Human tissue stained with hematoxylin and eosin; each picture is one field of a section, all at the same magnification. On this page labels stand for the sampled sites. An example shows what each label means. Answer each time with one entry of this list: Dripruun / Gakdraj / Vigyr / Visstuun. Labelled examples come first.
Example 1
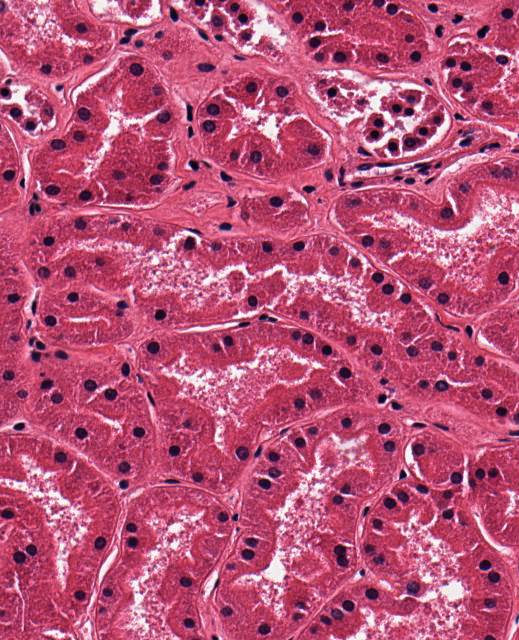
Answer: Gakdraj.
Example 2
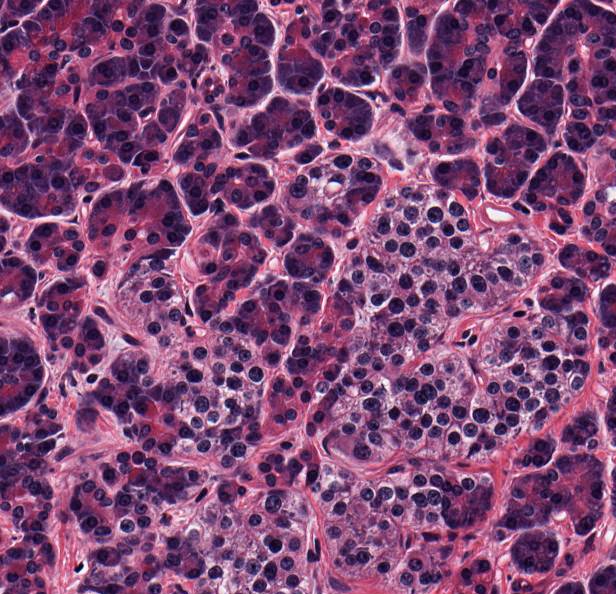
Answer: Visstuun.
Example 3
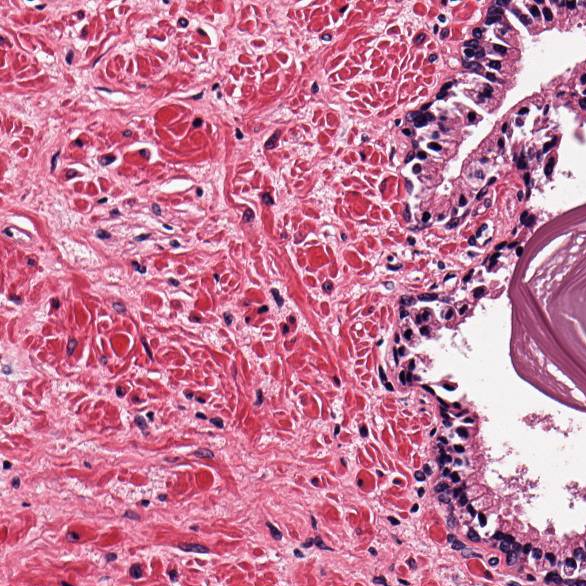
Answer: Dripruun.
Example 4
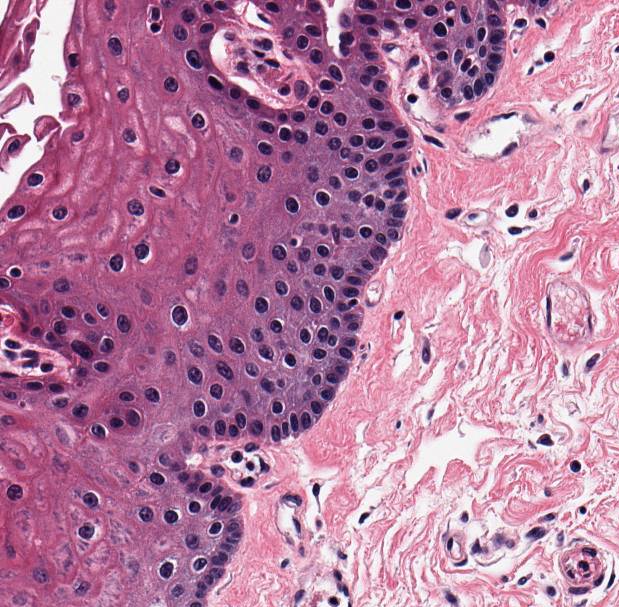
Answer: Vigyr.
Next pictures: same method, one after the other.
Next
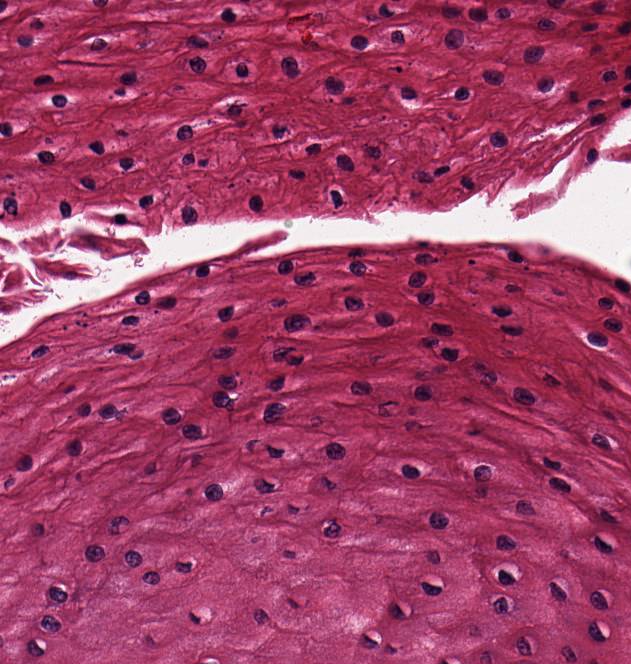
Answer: Vigyr.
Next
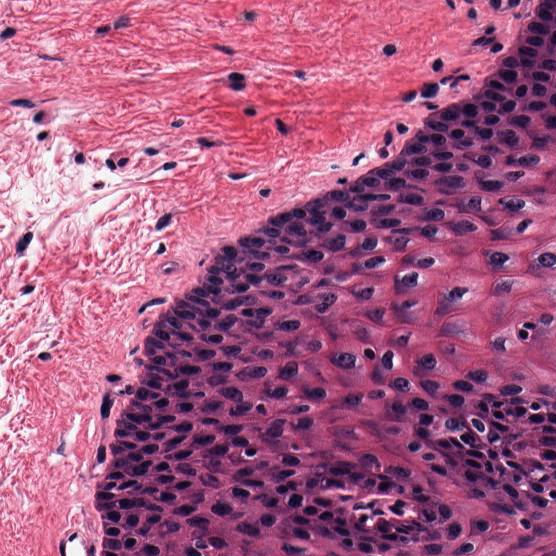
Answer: Vigyr.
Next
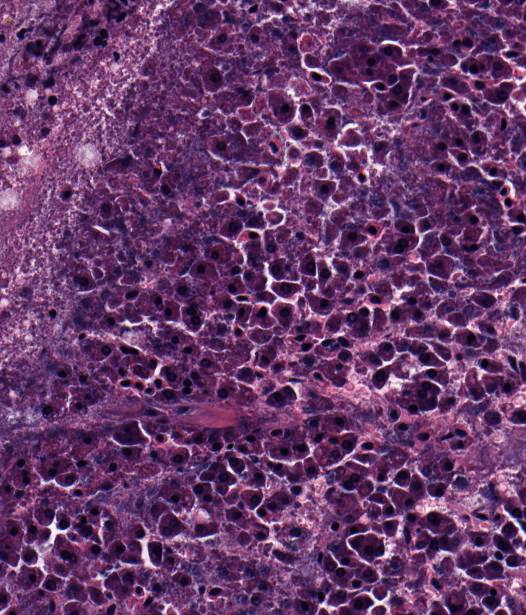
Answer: Visstuun.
